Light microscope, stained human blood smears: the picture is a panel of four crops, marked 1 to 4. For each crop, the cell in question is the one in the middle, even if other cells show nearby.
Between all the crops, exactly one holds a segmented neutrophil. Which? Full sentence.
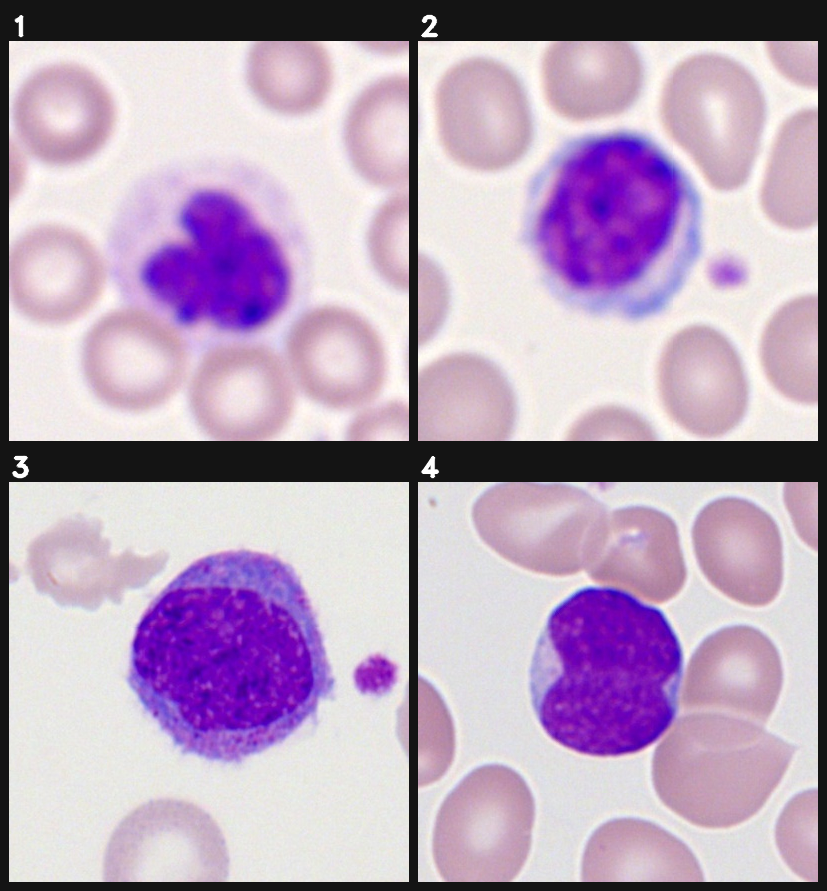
Here the crop that shows a segmented neutrophil is crop 1.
